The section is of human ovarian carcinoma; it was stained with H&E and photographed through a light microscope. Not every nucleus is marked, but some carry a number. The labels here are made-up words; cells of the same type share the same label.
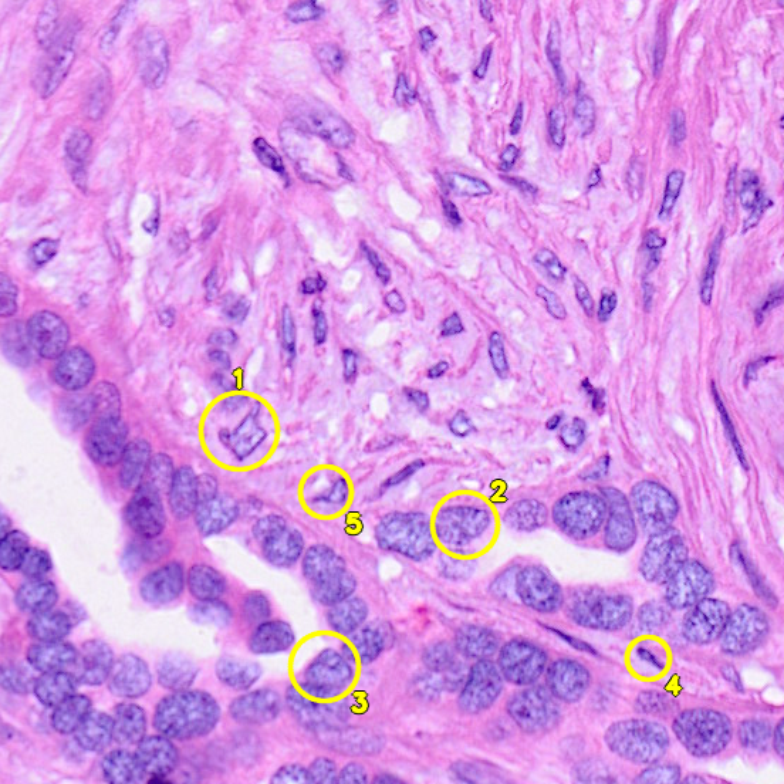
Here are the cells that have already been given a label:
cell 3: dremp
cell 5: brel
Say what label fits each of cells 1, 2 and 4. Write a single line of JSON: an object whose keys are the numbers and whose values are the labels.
{"1": "brel", "2": "dremp", "4": "brel"}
